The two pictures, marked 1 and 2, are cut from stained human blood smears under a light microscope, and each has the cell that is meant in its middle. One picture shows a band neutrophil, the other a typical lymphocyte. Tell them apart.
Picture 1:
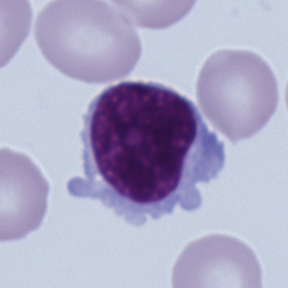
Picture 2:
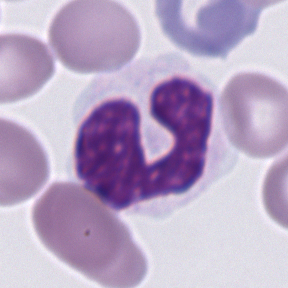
1: typical lymphocyte
2: band neutrophil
